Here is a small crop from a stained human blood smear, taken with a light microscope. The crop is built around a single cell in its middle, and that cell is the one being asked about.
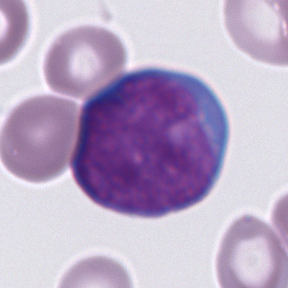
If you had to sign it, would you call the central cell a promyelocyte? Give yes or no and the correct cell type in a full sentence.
No, the central cell is counted as a myeloblast instead of a promyelocyte.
